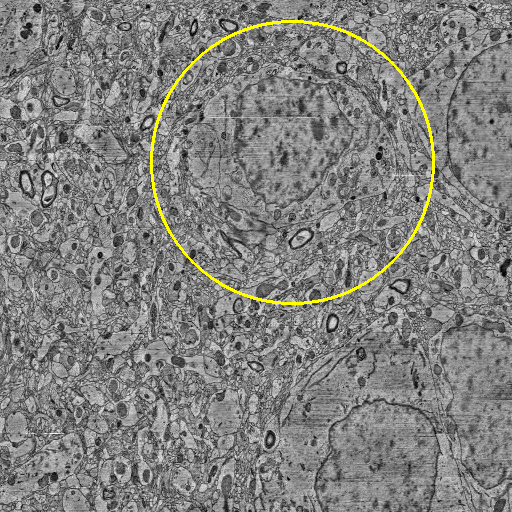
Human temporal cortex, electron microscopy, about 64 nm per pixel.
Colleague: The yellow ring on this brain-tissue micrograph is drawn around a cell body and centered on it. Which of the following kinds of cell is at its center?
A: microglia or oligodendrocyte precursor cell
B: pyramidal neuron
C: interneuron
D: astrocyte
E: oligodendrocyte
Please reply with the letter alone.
C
